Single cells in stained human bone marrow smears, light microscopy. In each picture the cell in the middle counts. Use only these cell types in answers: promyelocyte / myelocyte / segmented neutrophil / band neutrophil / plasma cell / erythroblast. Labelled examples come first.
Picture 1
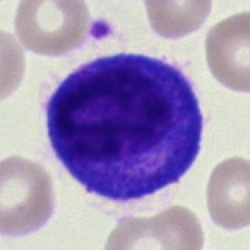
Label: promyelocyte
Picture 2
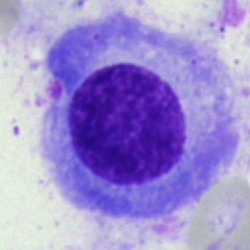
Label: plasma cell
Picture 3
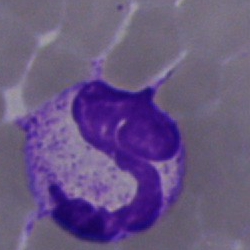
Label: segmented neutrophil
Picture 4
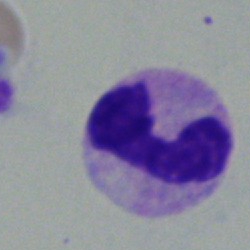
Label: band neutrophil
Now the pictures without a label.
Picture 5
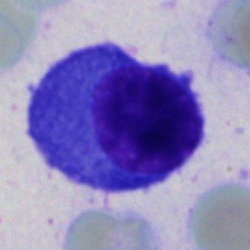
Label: plasma cell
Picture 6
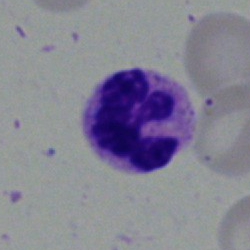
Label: segmented neutrophil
